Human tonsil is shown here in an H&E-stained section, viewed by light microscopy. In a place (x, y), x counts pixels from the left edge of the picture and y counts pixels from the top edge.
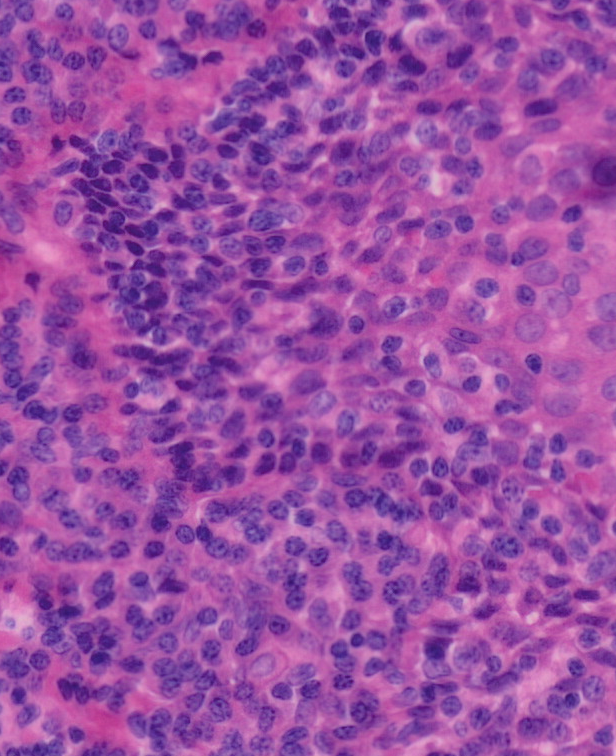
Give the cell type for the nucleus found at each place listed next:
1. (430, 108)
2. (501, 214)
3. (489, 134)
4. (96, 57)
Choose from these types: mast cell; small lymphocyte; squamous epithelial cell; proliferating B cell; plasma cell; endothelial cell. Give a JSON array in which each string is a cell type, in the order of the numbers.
["squamous epithelial cell", "squamous epithelial cell", "squamous epithelial cell", "plasma cell"]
